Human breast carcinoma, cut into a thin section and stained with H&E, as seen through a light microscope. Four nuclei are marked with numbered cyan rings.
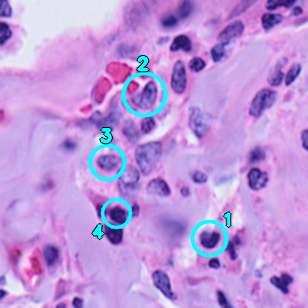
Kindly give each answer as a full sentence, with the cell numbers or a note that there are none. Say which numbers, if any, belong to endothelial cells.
The numbered cell that is an endothelial cell is cell 2, and it is the only one.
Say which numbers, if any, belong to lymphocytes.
The cells marked by the numbers 1 and 4 are lymphocytes.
